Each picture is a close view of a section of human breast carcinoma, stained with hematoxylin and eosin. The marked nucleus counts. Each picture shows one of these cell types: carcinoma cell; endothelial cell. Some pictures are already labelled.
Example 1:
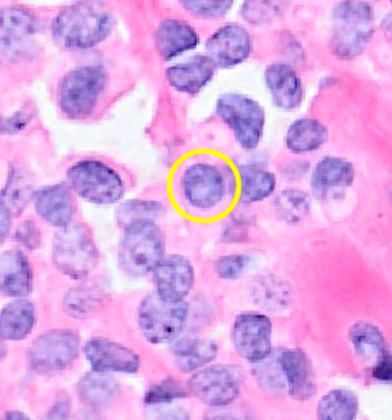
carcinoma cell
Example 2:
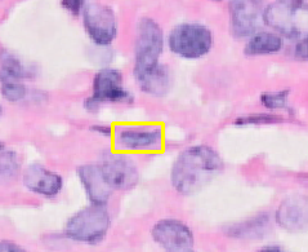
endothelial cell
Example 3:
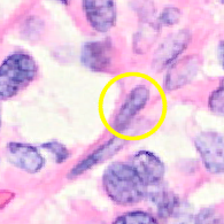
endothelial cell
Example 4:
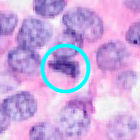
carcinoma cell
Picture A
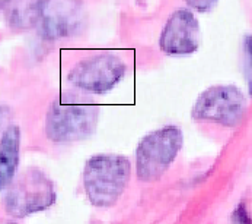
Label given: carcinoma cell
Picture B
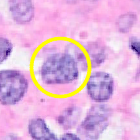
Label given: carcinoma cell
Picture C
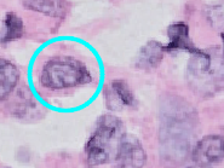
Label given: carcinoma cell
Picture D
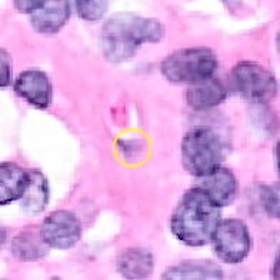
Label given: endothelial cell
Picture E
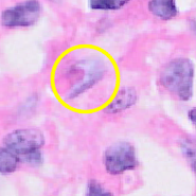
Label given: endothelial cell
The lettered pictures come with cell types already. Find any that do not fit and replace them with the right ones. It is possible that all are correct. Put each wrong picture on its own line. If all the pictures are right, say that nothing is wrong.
Nothing to fix; every label fits.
